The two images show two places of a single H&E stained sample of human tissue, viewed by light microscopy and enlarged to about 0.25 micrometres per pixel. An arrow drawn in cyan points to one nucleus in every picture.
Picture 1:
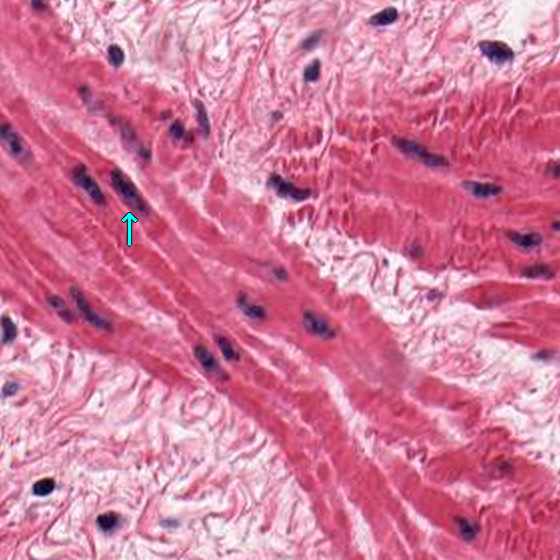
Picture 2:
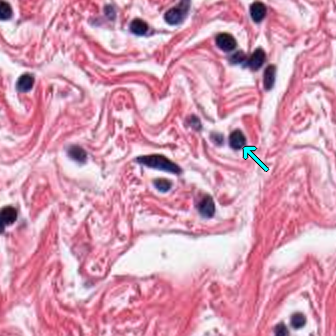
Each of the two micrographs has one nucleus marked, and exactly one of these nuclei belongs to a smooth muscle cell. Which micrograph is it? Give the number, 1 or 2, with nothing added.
1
